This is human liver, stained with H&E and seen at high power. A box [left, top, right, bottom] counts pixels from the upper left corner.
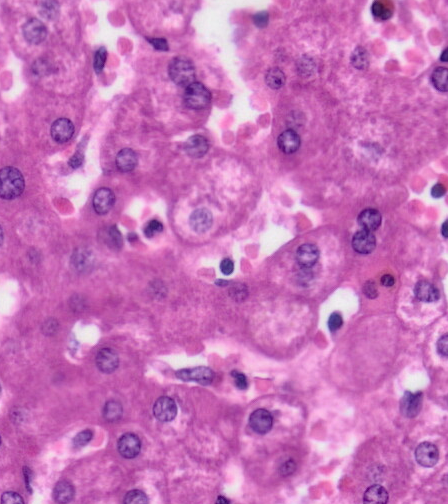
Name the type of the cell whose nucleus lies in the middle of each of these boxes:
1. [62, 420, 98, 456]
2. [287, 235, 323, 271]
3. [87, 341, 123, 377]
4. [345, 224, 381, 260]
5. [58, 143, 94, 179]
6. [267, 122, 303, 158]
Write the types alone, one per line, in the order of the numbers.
Kupffer cell
hepatocyte
hepatocyte
hepatocyte
Kupffer cell
hepatocyte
